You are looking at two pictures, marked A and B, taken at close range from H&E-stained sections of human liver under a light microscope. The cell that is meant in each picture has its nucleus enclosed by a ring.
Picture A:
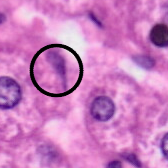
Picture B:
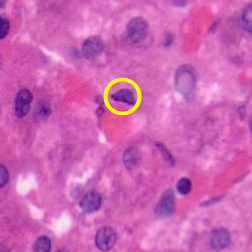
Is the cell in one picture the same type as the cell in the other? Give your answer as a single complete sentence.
No, they differ: the cell is a Kupffer cell in picture A and a “fibroblast or stellate cell” in picture B.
